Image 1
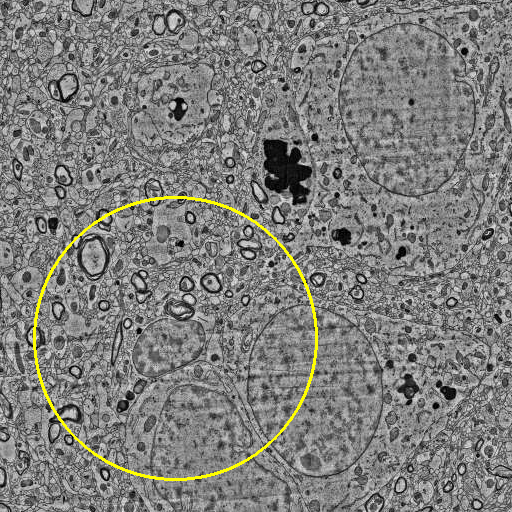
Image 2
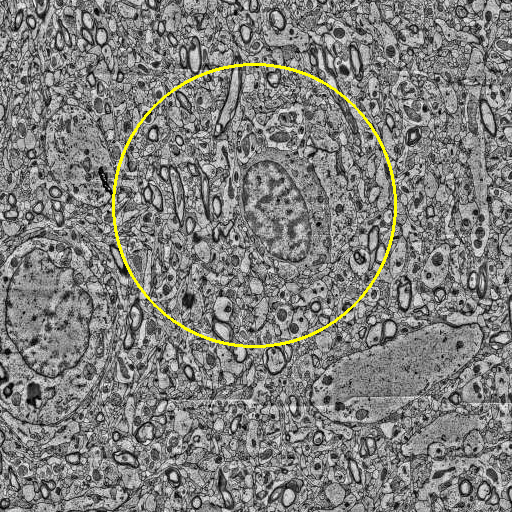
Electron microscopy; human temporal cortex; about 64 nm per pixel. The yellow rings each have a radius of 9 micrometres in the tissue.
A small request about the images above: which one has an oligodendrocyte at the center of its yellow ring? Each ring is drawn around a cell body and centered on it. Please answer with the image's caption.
Image 2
